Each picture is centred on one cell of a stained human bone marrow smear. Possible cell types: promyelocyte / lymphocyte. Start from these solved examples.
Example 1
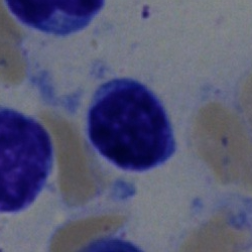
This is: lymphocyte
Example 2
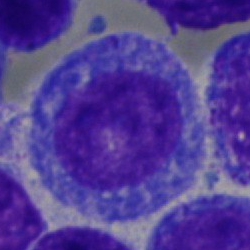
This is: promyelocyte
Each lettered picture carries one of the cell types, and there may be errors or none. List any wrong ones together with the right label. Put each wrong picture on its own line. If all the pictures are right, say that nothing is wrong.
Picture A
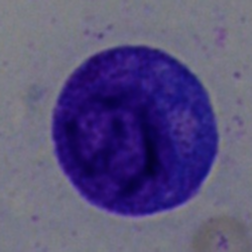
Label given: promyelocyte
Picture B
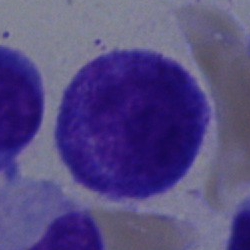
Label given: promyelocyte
None of the labels needs changing.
